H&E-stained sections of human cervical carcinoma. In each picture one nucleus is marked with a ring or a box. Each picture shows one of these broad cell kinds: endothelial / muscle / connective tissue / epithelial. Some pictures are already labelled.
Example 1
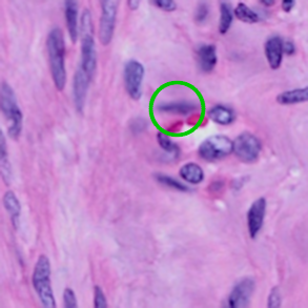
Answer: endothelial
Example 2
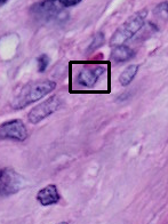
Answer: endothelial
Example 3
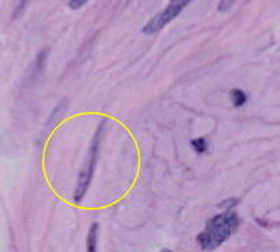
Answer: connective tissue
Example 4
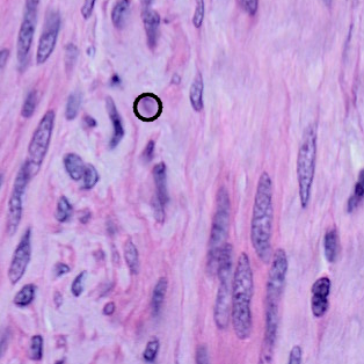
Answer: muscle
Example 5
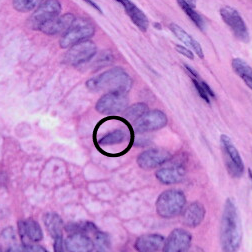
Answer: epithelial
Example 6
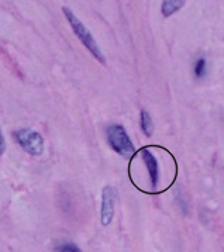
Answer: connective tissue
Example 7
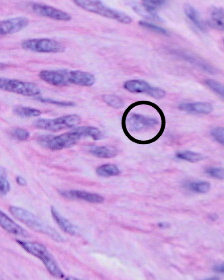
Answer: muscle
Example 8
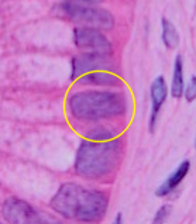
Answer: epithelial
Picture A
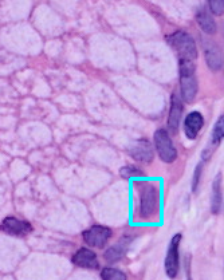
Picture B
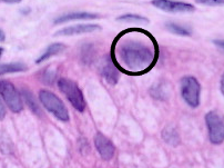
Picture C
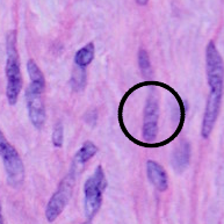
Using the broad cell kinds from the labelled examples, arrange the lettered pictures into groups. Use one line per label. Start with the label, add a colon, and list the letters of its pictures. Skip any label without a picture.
muscle: C
epithelial: A, B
